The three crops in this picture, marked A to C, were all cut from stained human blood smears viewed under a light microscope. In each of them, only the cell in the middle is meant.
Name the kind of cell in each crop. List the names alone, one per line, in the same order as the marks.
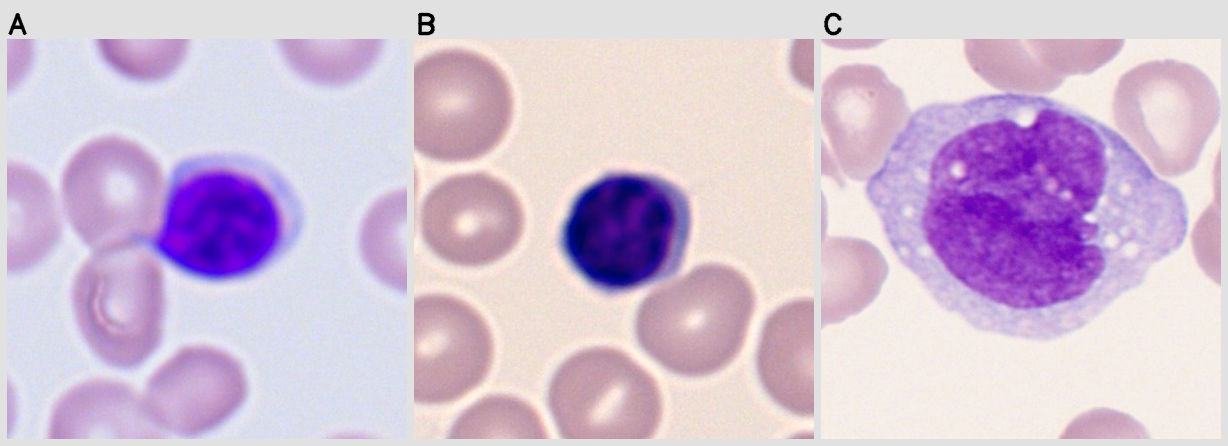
lymphocyte
lymphocyte
monocyte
